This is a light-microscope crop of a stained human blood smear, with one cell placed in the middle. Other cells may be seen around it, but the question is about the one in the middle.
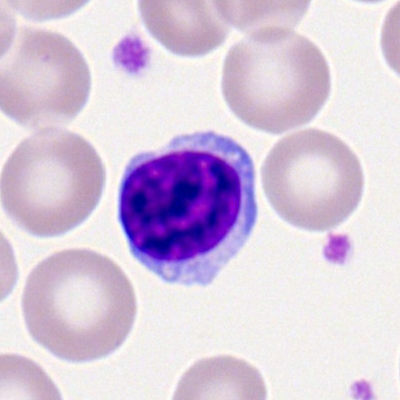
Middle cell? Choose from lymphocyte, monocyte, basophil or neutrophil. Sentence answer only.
Framed in the middle of the crop is a lymphocyte.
